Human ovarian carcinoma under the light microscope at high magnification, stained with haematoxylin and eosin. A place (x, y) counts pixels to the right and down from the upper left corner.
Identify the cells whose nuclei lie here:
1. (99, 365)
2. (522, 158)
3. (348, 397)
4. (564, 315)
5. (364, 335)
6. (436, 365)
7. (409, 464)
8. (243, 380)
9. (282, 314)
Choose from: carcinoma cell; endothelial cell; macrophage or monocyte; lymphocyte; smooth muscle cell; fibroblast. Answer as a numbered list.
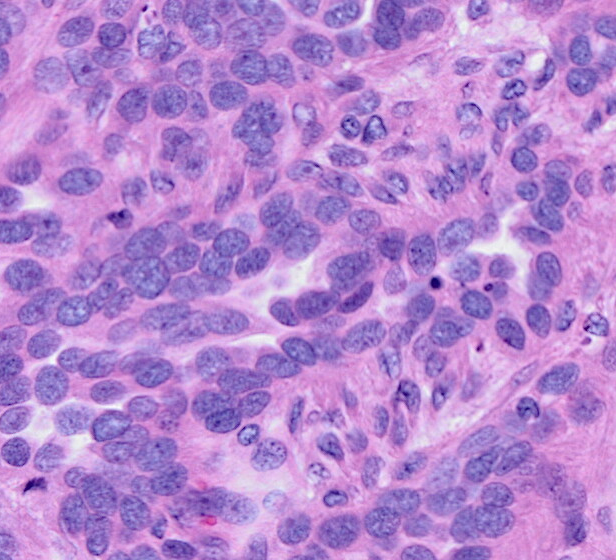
1. carcinoma cell
2. carcinoma cell
3. fibroblast
4. fibroblast
5. carcinoma cell
6. fibroblast
7. fibroblast
8. carcinoma cell
9. carcinoma cell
